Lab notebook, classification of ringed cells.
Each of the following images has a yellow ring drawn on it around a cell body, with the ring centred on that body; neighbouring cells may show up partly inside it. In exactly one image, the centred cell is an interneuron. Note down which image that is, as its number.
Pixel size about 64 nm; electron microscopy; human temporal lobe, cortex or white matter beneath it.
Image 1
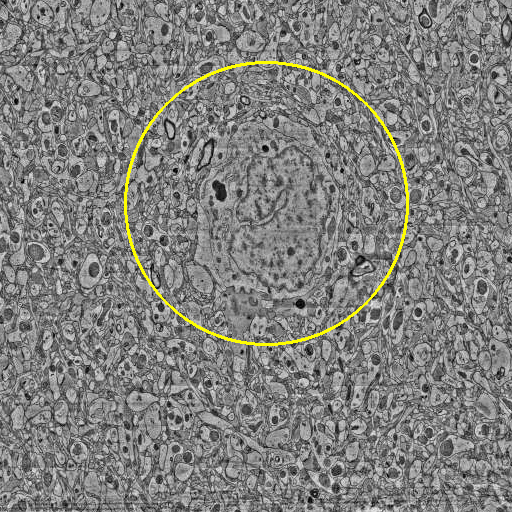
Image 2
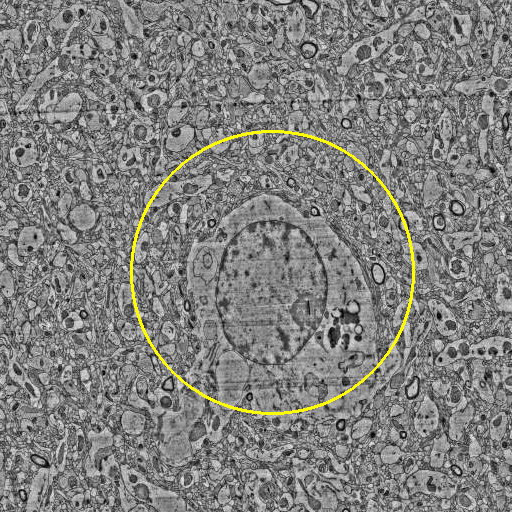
1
